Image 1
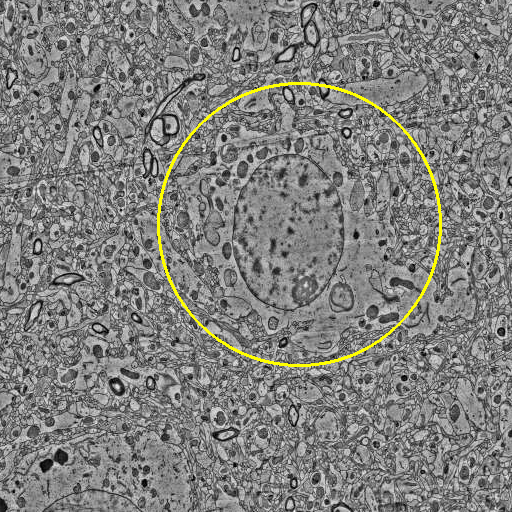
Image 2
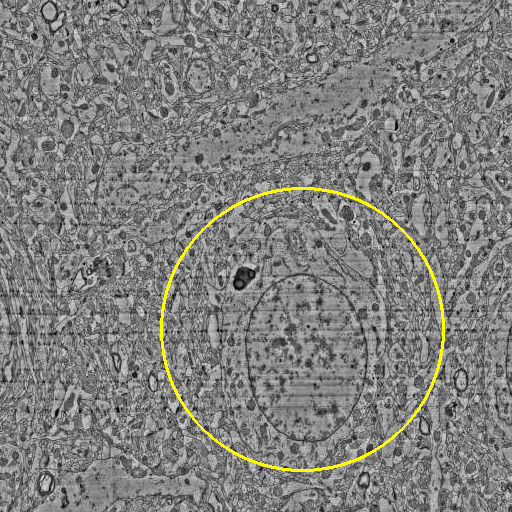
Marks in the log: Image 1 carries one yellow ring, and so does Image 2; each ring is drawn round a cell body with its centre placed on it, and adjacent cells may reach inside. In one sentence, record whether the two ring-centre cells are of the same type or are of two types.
The two cells at the ring centres, one in each image, are of two types.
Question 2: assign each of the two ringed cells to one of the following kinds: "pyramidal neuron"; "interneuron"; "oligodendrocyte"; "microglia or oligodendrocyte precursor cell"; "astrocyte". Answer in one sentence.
The two cells are an astrocyte in the first picture and a pyramidal neuron in the second.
